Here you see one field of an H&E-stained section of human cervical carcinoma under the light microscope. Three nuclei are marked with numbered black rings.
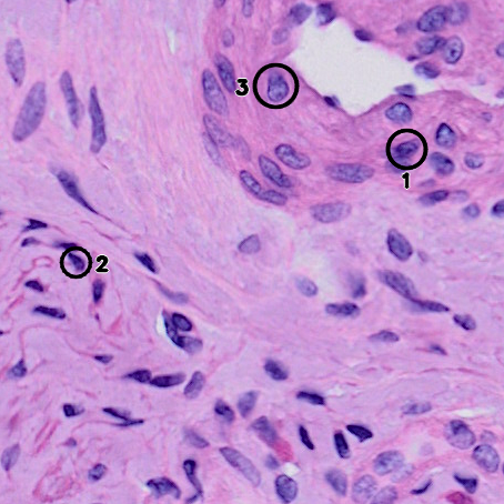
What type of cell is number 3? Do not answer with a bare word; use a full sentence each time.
Cell 3, as marked in the section, is a smooth muscle cell.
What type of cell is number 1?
The cell carrying label 1 is identified as a smooth muscle cell.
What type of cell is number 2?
Cell 2 of the marked set is a fibroblast.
